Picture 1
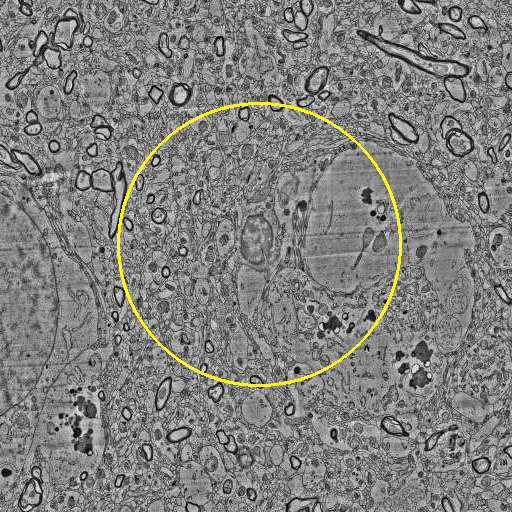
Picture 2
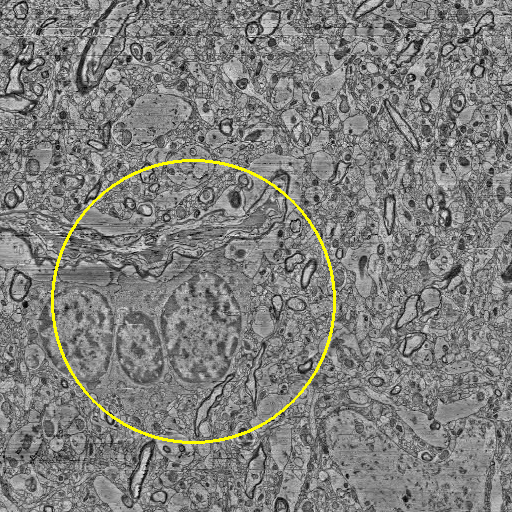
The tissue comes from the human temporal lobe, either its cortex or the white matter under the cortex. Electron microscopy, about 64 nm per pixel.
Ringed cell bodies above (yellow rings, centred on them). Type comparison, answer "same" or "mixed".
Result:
same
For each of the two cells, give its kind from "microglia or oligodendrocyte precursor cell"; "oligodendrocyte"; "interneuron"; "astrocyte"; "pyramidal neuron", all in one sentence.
The first and the second cell are each an oligodendrocyte.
